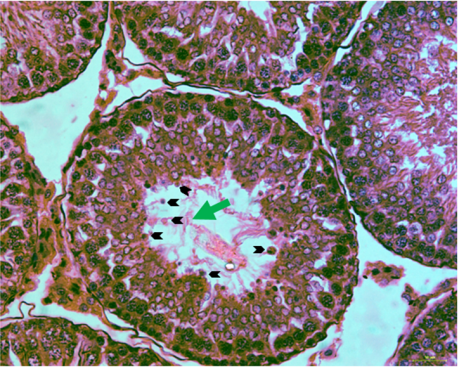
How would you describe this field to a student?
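A round seminiferous tubule of the testis is shown with parts of neighbouring tubules around it. Its epithelium consists of several layers of cells with round, dark purple nuclei in pink cytoplasm, resting on a thin wall. The centre of the tubule is a wide, pale lumen that contains only scattered pink strands rather than dense bundles of sperm tails, and few elongated sperm heads line the inner edge. Several rounded cells with dark nuclei lie free within this lumen, detached from the epithelium. Pale, empty-looking interstitial spaces separate the tubules.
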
